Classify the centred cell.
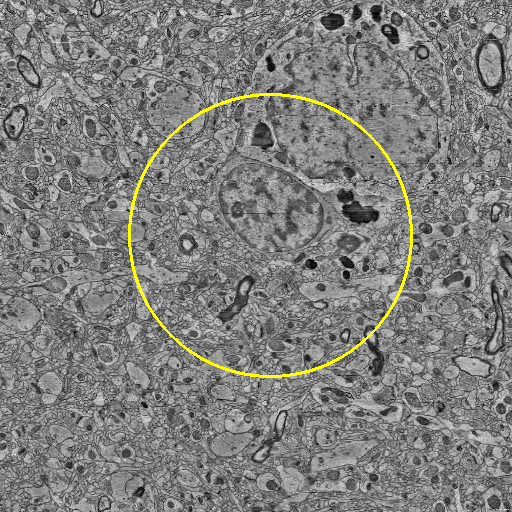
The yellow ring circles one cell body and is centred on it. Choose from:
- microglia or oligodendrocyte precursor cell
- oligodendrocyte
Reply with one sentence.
The ring is centred on an oligodendrocyte.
